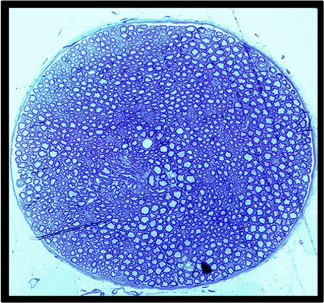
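This is a cross-section of a peripheral nerve made up of many closely packed myelinated nerve fibres. Each fibre shows a pale round axon surrounded by a dark-blue ring of myelin, and fibres of large and small calibre are intermixed.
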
